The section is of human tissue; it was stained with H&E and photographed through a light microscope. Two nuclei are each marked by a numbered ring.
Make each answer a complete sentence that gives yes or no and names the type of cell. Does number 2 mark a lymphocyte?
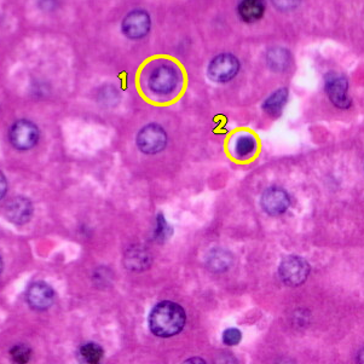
Yes, the cell with number 2 is a lymphocyte.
